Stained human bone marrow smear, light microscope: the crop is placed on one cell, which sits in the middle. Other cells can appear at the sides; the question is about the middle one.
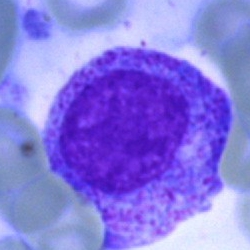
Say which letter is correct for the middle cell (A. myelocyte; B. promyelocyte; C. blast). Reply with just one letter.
B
